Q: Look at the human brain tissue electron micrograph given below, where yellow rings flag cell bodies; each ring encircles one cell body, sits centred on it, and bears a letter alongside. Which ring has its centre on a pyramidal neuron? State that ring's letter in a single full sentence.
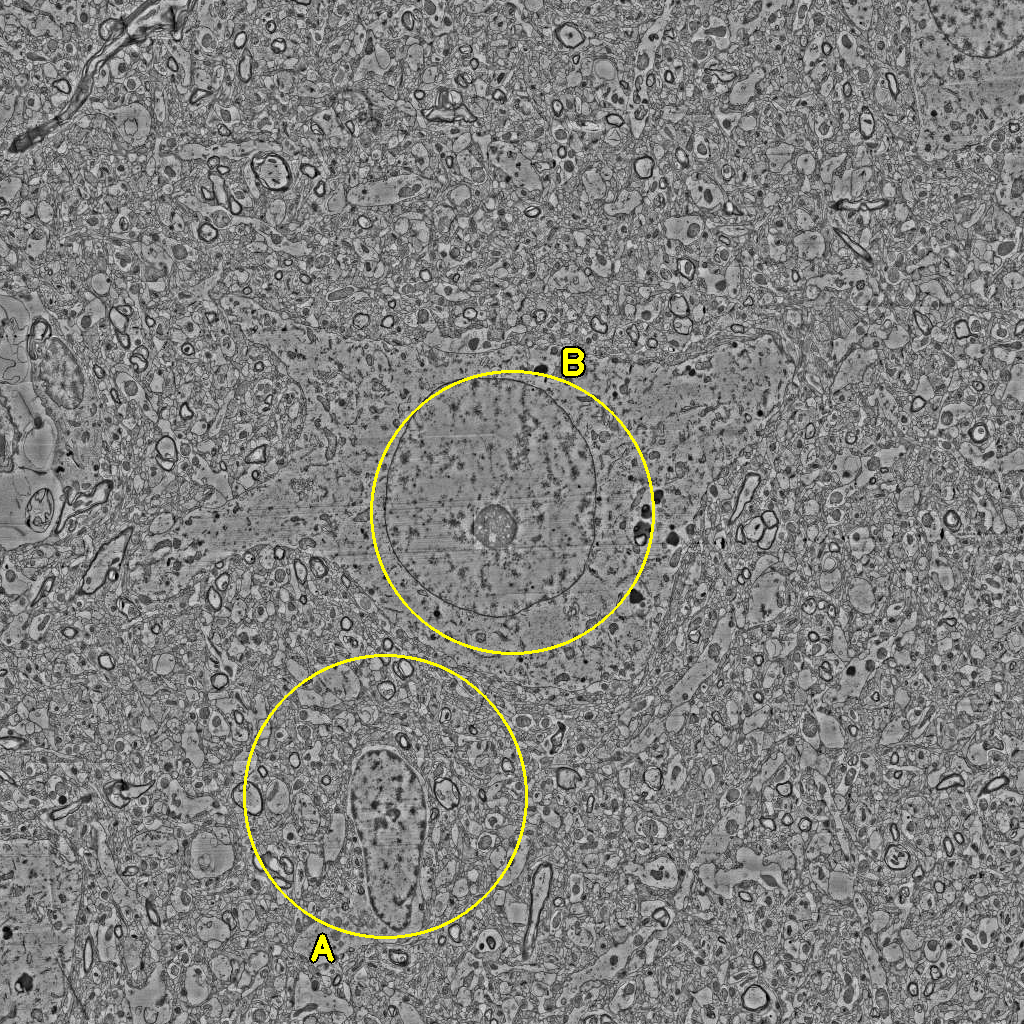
In the picture, the cell of that kind sits at the centre of ring B.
